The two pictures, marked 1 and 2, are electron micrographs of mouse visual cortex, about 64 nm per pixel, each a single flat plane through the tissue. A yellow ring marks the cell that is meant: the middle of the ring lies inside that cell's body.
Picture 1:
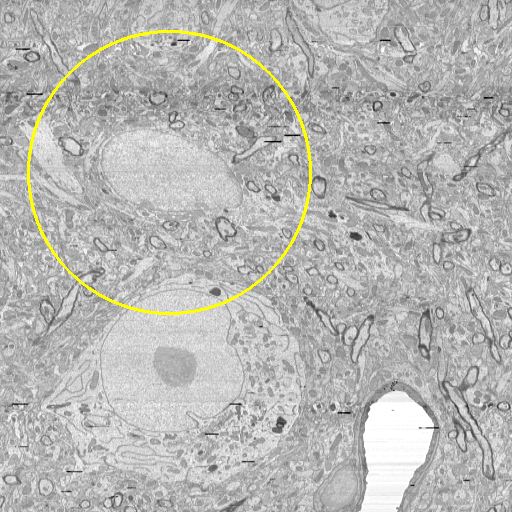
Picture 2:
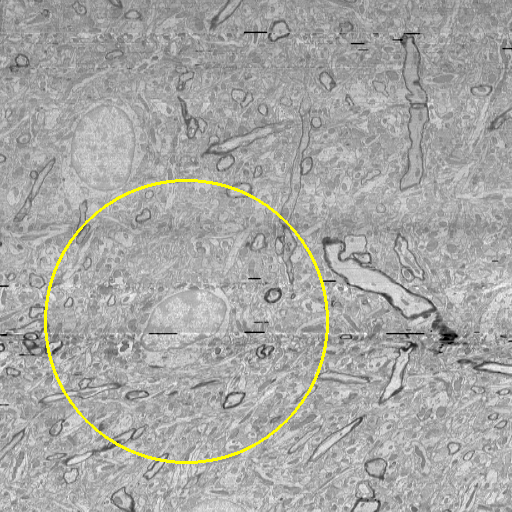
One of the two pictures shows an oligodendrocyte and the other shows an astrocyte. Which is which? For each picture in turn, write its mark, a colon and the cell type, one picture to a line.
1: astrocyte
2: oligodendrocyte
